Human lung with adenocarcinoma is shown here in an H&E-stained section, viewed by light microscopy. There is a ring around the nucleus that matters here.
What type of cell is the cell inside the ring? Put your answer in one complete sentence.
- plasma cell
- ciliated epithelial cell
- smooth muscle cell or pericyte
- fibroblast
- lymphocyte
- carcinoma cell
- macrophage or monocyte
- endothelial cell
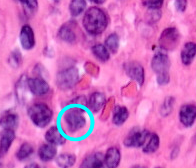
In the stained section, the cell inside the ring is a lymphocyte.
